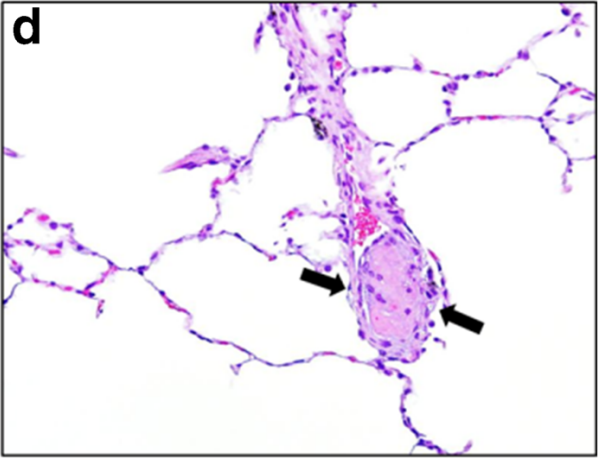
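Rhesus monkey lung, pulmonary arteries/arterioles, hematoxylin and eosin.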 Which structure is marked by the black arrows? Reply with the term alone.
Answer: fibrin microthrombi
